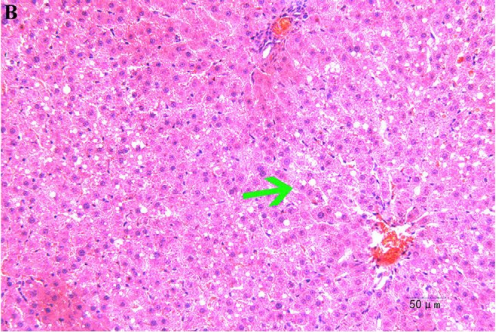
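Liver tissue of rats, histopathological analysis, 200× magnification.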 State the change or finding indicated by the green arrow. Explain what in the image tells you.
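Lipid droplet vacuoles. Small round clear, unstained spaces lie within the pink cytoplasm of the cells near the arrow. Such clear vacuoles are scattered across many of the polygonal cells.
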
